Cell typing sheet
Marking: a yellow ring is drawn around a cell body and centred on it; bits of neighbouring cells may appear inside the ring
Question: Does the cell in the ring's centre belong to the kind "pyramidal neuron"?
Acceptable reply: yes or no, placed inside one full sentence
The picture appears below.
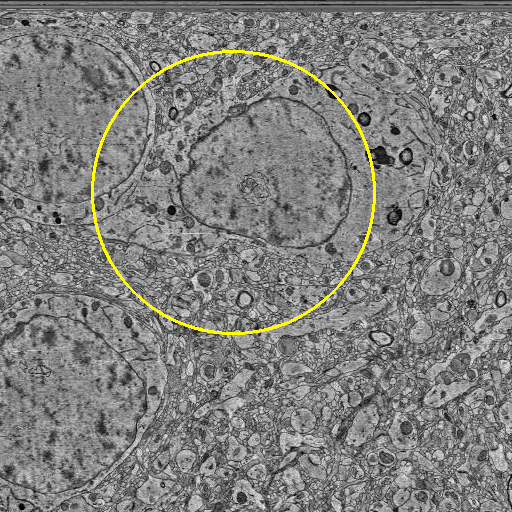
Yes, the cell in the centre of the ring is of the kind asked about.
